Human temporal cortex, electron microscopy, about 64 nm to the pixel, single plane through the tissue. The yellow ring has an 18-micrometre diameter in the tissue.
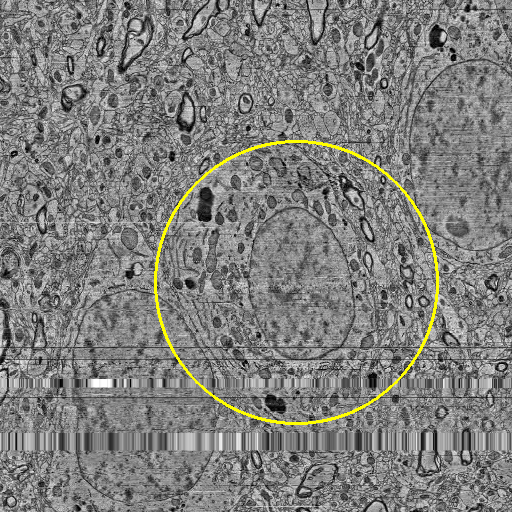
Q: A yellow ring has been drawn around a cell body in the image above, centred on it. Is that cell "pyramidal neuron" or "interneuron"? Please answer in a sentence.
The ring surrounds the cell body of an interneuron.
